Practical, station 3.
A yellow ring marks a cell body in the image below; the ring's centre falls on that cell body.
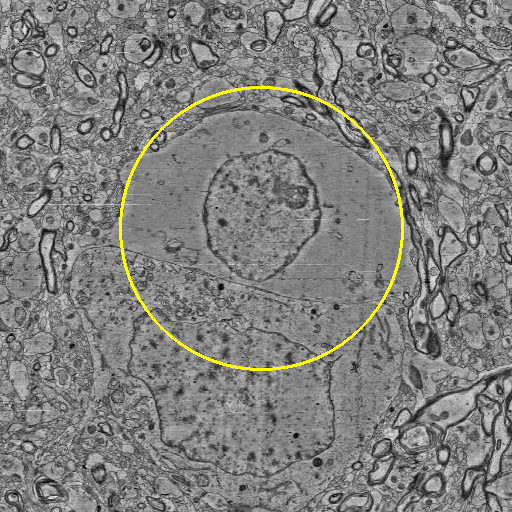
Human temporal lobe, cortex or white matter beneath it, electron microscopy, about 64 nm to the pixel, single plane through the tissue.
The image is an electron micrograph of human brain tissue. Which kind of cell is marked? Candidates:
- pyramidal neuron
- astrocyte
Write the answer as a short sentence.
The marked cell body is that of an astrocyte.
